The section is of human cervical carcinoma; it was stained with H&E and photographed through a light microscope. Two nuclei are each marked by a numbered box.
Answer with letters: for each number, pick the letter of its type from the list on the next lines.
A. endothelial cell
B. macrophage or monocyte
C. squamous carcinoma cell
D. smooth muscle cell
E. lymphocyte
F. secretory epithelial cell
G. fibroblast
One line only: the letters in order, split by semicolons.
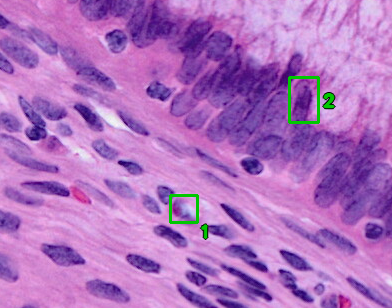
A; F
